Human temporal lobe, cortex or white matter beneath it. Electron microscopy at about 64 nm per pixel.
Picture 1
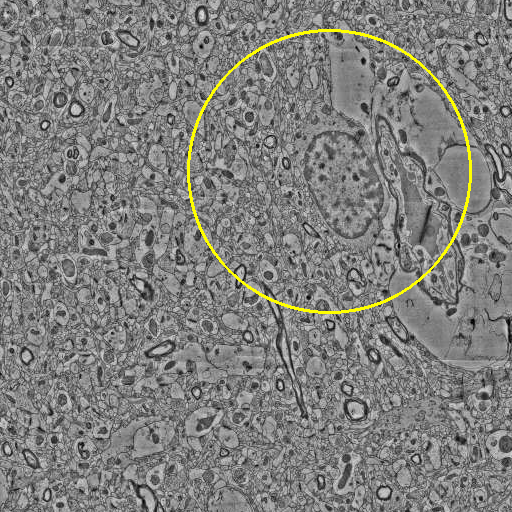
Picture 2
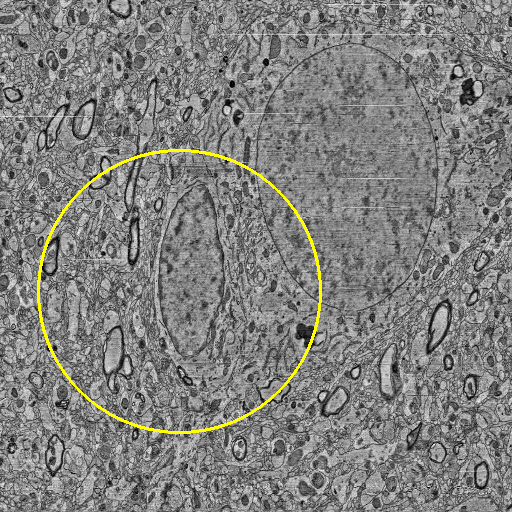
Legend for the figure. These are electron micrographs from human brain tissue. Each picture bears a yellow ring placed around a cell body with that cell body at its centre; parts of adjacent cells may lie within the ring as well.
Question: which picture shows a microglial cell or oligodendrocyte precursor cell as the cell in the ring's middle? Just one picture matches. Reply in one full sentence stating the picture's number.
It is picture 2 whose yellow ring is centred on the requested cell.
